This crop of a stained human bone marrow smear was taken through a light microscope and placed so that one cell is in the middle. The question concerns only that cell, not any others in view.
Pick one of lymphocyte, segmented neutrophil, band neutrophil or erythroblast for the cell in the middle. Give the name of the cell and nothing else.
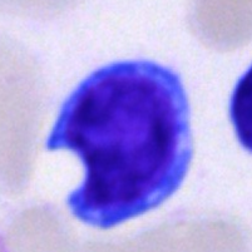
lymphocyte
